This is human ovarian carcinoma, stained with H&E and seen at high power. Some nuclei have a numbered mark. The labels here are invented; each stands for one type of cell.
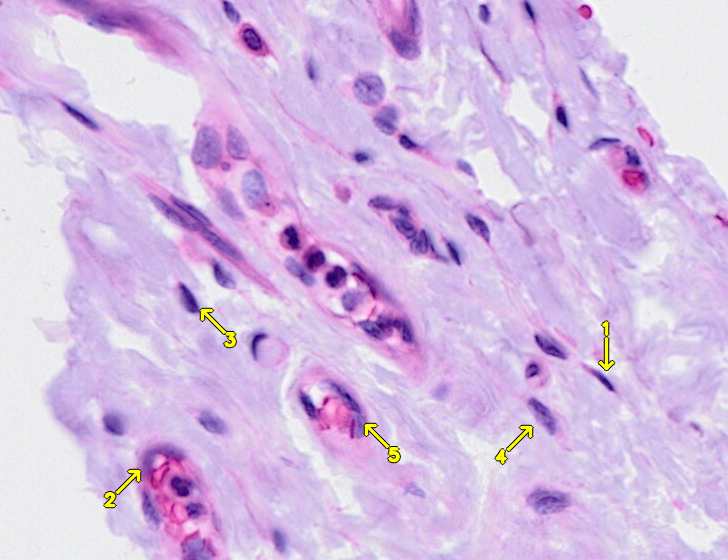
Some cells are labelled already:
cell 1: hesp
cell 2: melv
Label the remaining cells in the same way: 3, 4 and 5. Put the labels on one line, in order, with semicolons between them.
hesp; hesp; melv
